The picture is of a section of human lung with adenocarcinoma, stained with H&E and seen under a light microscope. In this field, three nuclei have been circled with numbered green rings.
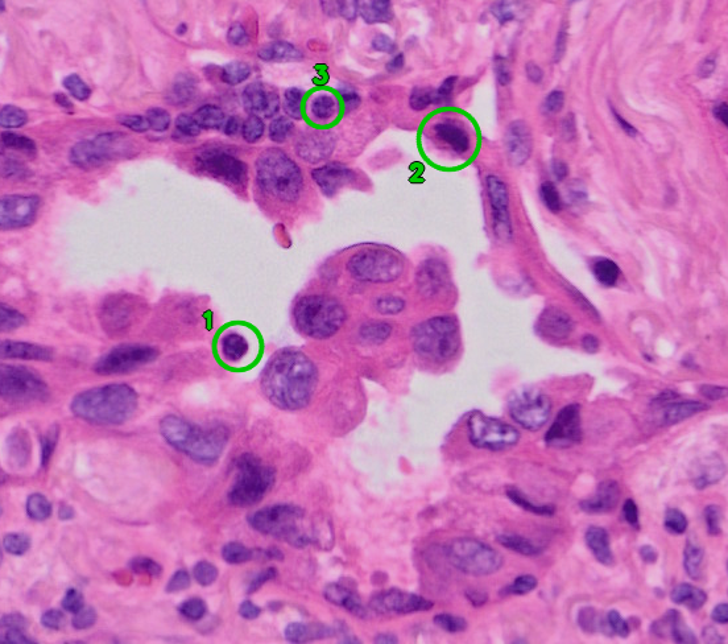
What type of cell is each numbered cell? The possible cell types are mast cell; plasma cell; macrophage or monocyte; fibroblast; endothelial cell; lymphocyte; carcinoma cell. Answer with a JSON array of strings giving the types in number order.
["lymphocyte", "carcinoma cell", "lymphocyte"]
